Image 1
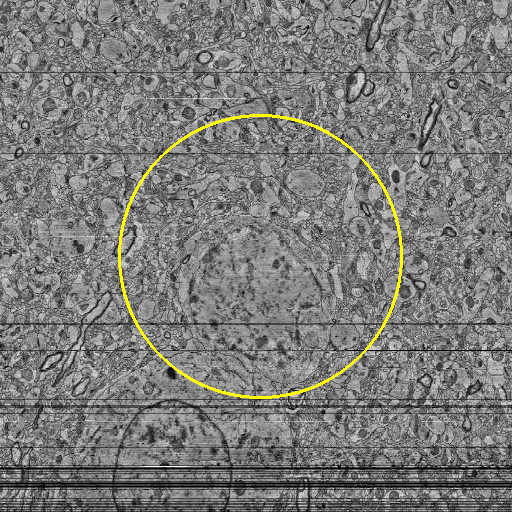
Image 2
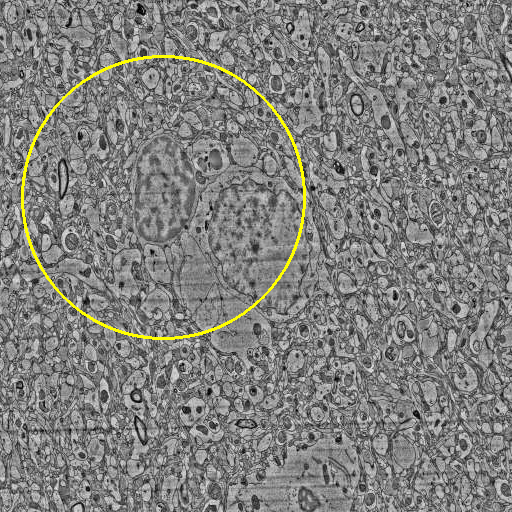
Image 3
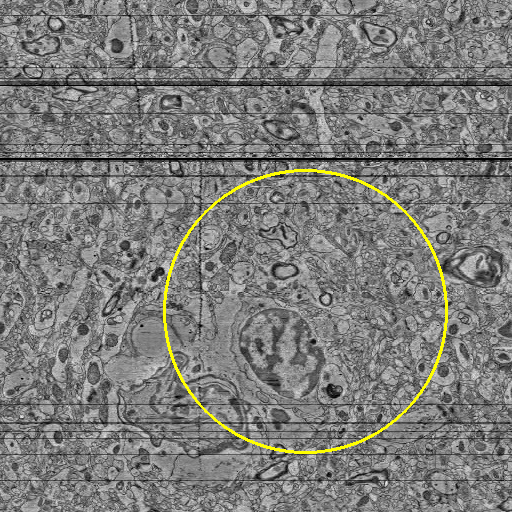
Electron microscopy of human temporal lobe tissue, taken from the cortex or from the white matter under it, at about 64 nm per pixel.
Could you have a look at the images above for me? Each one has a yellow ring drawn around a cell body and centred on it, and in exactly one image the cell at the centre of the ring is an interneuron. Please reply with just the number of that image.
1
